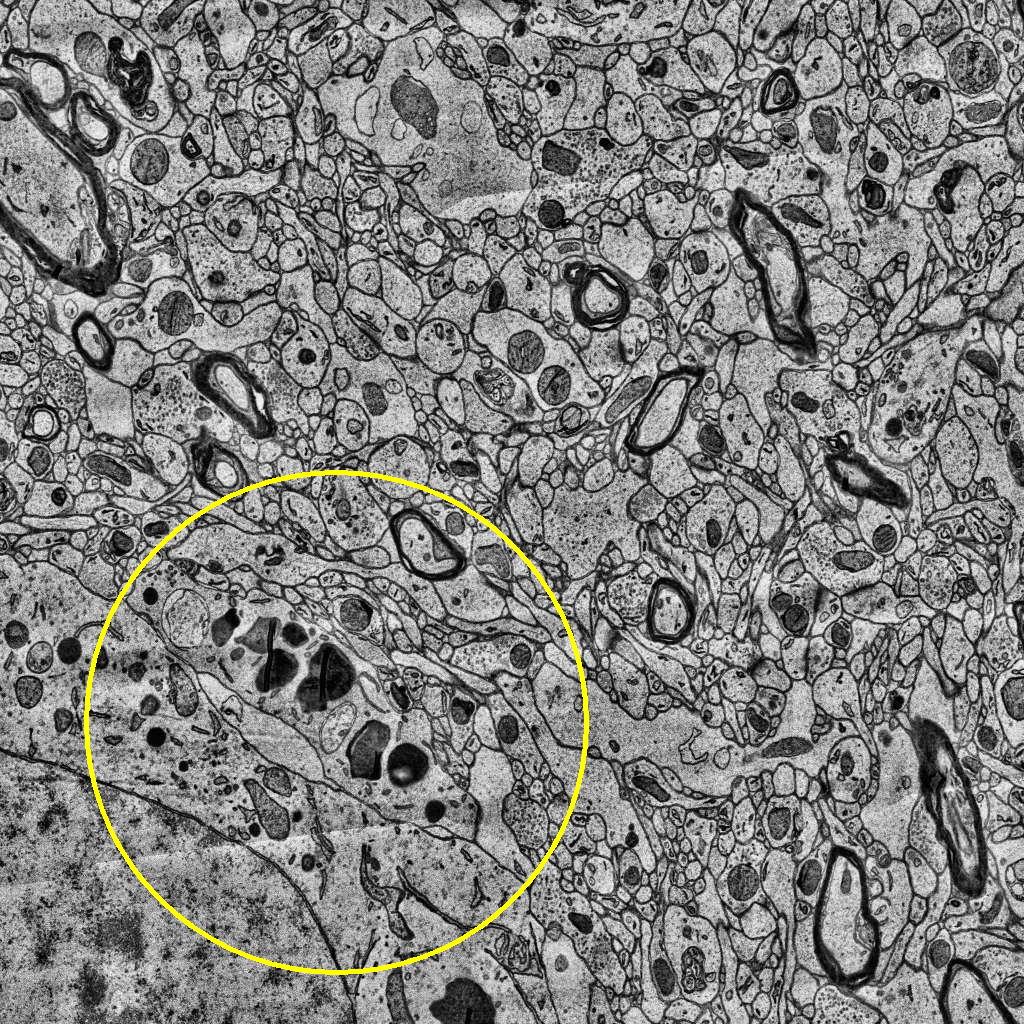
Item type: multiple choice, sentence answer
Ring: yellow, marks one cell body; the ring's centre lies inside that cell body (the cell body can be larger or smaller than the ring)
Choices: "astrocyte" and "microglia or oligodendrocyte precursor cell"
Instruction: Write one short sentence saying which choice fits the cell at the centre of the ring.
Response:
The centre of this ring lies on a microglial cell or oligodendrocyte precursor cell.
